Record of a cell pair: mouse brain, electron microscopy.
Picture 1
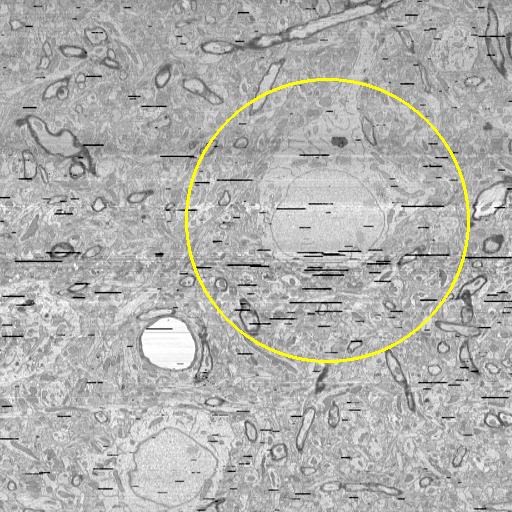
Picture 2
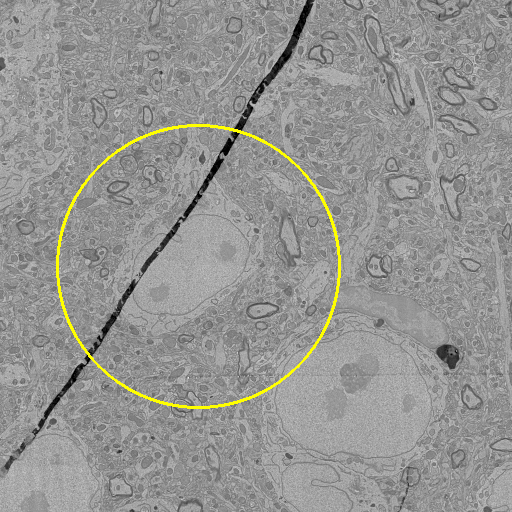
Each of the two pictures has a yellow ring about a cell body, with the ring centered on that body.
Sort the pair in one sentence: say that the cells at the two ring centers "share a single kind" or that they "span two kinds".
The cells centered in the rings of Pictures 1 and 2 share a single kind.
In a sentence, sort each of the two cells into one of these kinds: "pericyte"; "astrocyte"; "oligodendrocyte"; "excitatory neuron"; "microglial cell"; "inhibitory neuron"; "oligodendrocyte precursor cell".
Each of the ringed cells, first and second, is an excitatory neuron.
